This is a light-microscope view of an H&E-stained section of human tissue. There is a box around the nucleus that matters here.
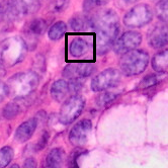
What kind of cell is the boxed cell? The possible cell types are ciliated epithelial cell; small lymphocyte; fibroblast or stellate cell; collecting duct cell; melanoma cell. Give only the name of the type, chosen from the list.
ciliated epithelial cell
